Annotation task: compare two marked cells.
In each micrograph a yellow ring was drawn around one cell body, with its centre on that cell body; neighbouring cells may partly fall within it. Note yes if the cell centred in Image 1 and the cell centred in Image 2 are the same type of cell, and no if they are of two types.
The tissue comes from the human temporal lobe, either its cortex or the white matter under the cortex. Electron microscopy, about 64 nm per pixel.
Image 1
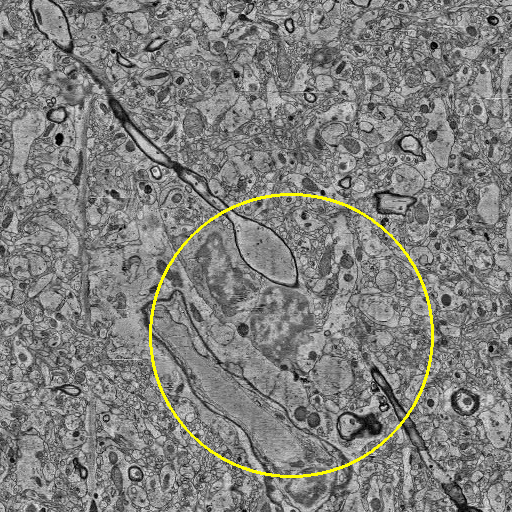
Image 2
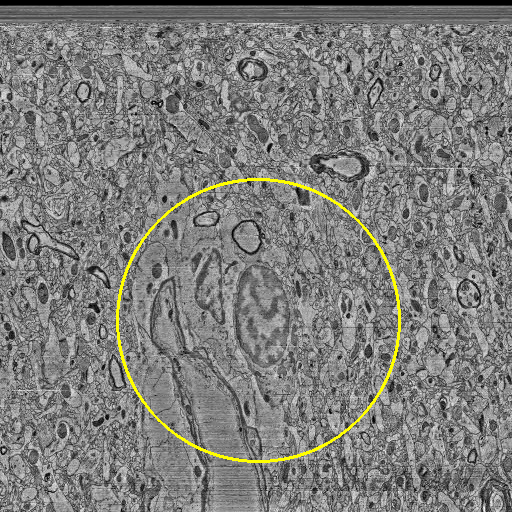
yes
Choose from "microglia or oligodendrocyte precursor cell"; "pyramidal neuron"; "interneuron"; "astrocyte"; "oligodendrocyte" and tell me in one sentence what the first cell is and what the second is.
Both the first and the second picture show an oligodendrocyte in the ring.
